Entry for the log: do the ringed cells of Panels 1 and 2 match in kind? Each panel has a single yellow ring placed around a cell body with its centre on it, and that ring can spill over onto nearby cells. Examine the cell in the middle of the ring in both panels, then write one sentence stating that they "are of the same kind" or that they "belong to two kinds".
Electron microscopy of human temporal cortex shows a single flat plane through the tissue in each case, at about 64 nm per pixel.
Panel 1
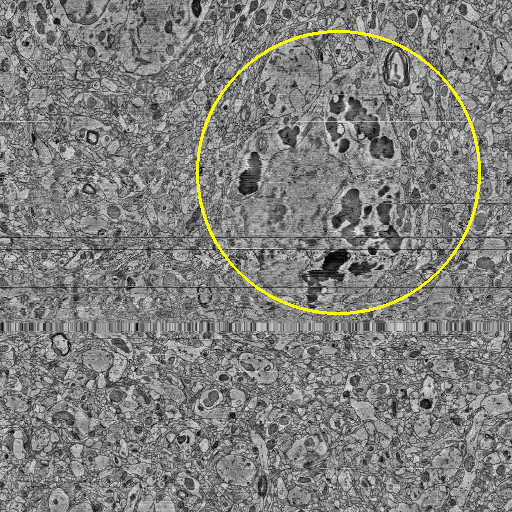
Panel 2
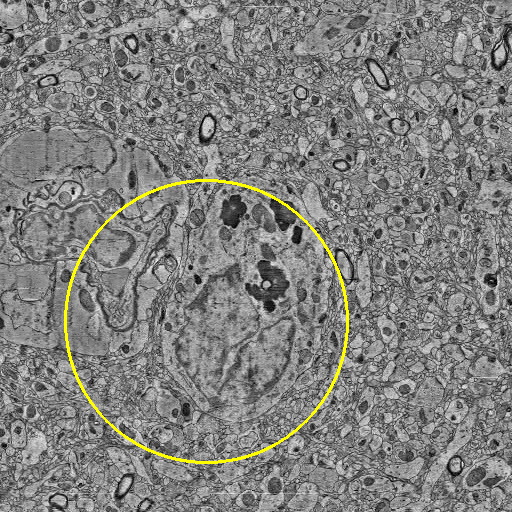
The centre cell of Panel 1's ring and that of Panel 2's ring are of the same kind.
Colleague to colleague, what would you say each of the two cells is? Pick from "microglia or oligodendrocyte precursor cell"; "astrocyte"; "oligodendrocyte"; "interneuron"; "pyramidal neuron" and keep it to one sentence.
Each of the two rings is centred on an interneuron.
